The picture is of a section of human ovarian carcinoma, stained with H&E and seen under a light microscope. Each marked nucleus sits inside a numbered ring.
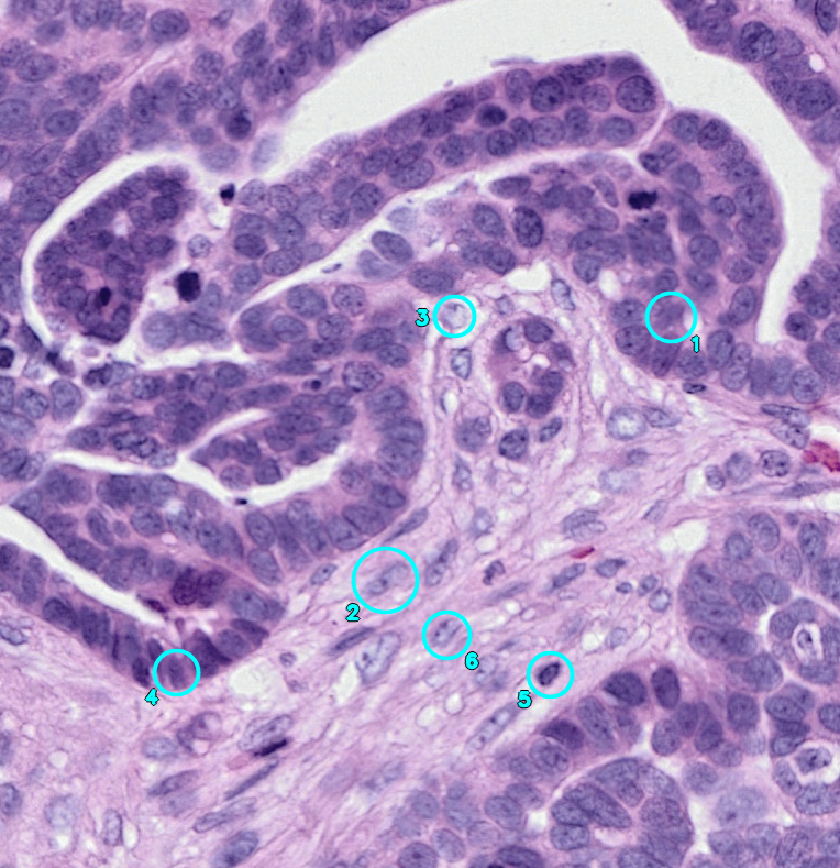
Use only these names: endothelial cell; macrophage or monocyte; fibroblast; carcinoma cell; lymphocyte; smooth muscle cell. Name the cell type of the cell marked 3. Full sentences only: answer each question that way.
Heads up, the cell numbered 3 is a fibroblast.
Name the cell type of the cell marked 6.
The cell pointed out by number 6 is a fibroblast.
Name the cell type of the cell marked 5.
The marked nucleus 5 is that of a lymphocyte.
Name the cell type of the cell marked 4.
The cell bearing label 4 corresponds to a carcinoma cell.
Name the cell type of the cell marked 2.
The cell marked with number 2 is a fibroblast.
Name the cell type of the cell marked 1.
Cell 1, among those numbered, is a carcinoma cell.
